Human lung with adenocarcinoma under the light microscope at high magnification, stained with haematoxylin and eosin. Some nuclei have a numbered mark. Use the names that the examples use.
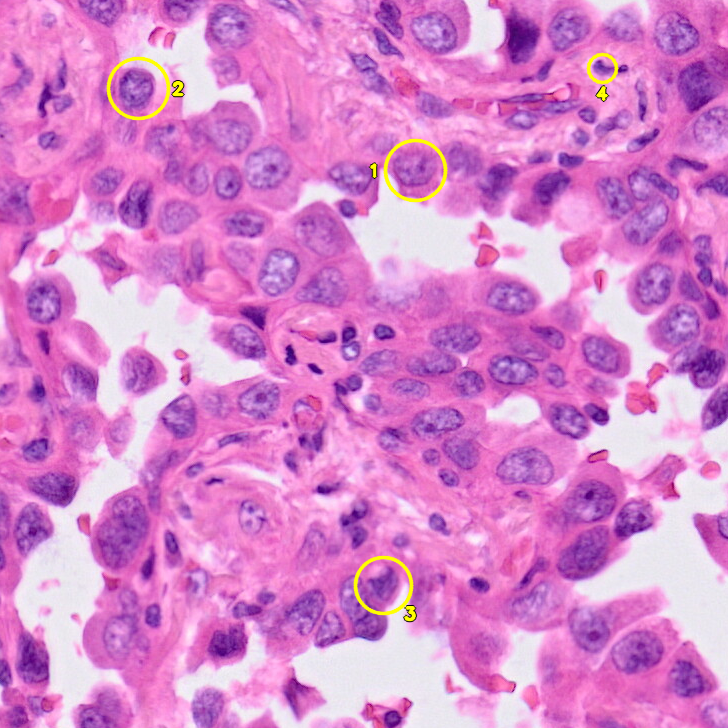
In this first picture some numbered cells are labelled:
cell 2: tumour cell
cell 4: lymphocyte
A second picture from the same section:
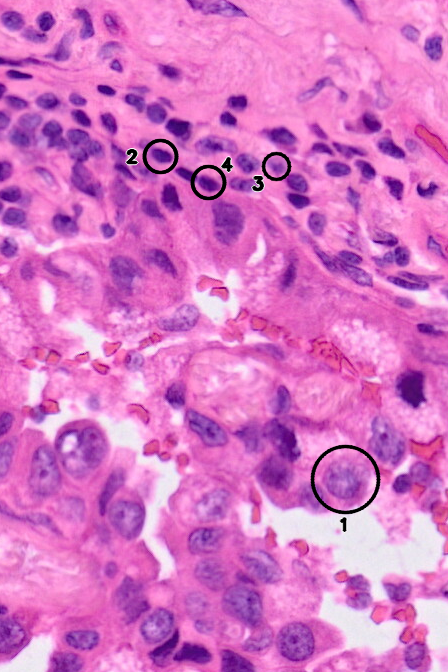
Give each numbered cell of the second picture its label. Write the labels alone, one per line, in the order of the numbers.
tumour cell
lymphocyte
lymphocyte
lymphocyte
